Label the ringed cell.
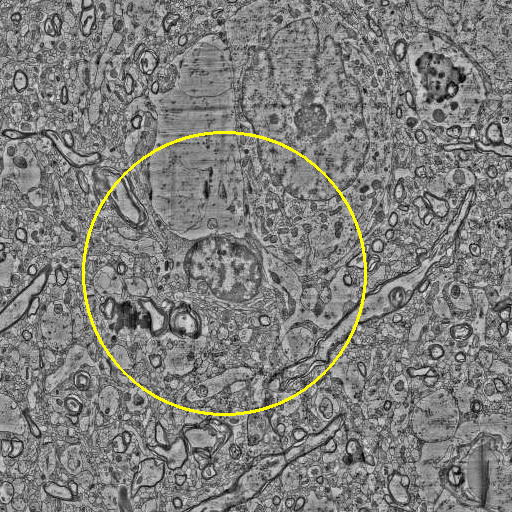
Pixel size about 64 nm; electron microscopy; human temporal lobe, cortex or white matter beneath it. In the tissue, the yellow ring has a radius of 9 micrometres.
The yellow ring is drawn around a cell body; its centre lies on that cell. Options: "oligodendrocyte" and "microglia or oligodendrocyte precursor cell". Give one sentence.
The ringed cell is an oligodendrocyte.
